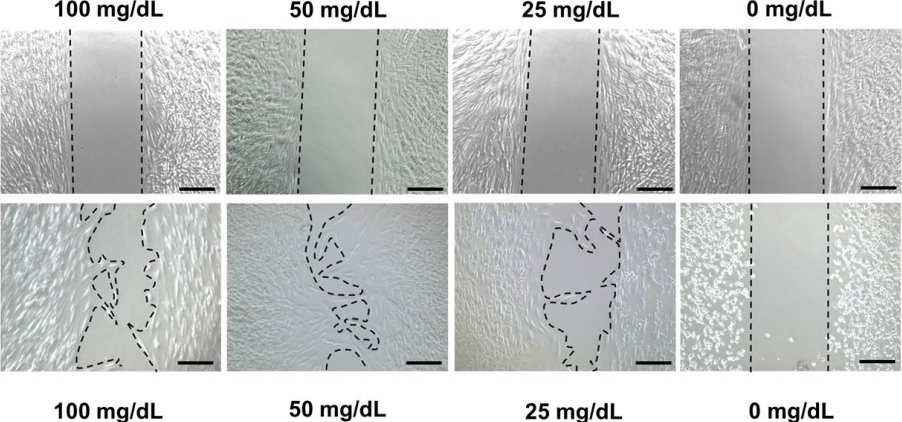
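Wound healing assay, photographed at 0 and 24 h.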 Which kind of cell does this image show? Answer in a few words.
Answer: fibroblast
